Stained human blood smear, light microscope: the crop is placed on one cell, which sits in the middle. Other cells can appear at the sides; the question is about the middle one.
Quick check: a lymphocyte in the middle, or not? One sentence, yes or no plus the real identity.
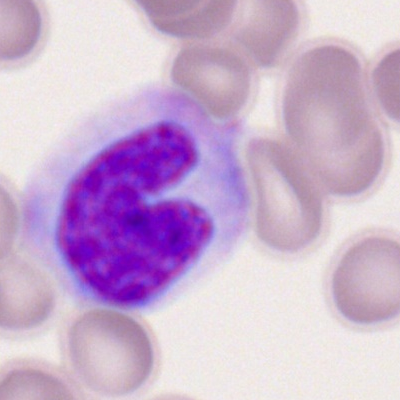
No, the cell in the middle should be called a monocyte instead of a lymphocyte.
